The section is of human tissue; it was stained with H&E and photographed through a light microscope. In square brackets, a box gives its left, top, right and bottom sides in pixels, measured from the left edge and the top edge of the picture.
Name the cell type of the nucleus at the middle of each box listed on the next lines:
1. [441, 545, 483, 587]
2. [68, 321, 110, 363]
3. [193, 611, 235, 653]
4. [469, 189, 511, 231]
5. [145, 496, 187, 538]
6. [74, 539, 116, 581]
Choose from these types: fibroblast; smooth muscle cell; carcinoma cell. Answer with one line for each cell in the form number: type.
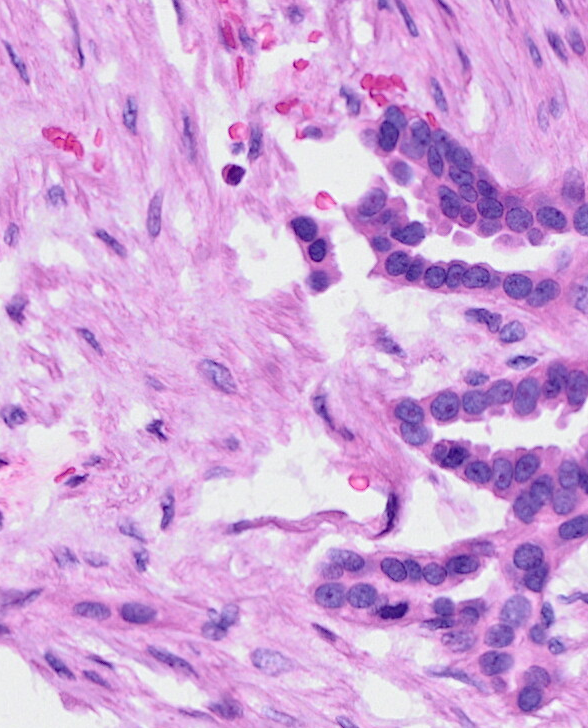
1: carcinoma cell
2: fibroblast
3: fibroblast
4: carcinoma cell
5: fibroblast
6: fibroblast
